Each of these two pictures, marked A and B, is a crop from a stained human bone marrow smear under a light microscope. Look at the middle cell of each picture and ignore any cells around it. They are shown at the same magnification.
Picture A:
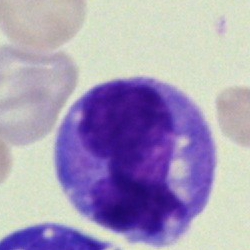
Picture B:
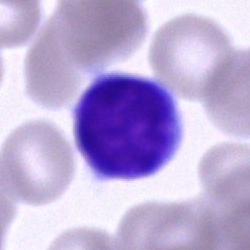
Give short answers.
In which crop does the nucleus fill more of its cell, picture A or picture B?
B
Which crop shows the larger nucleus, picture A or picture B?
A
